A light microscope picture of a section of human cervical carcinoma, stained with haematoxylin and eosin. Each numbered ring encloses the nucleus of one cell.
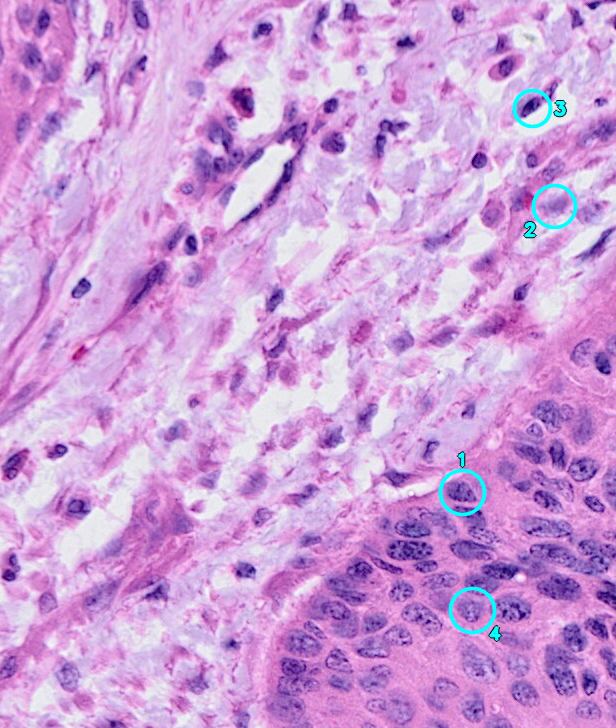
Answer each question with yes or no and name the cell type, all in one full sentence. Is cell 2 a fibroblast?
Yes, exactly, the cell numbered 2 is a fibroblast.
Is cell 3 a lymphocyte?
Yes, the cell that has number 3 is a lymphocyte.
